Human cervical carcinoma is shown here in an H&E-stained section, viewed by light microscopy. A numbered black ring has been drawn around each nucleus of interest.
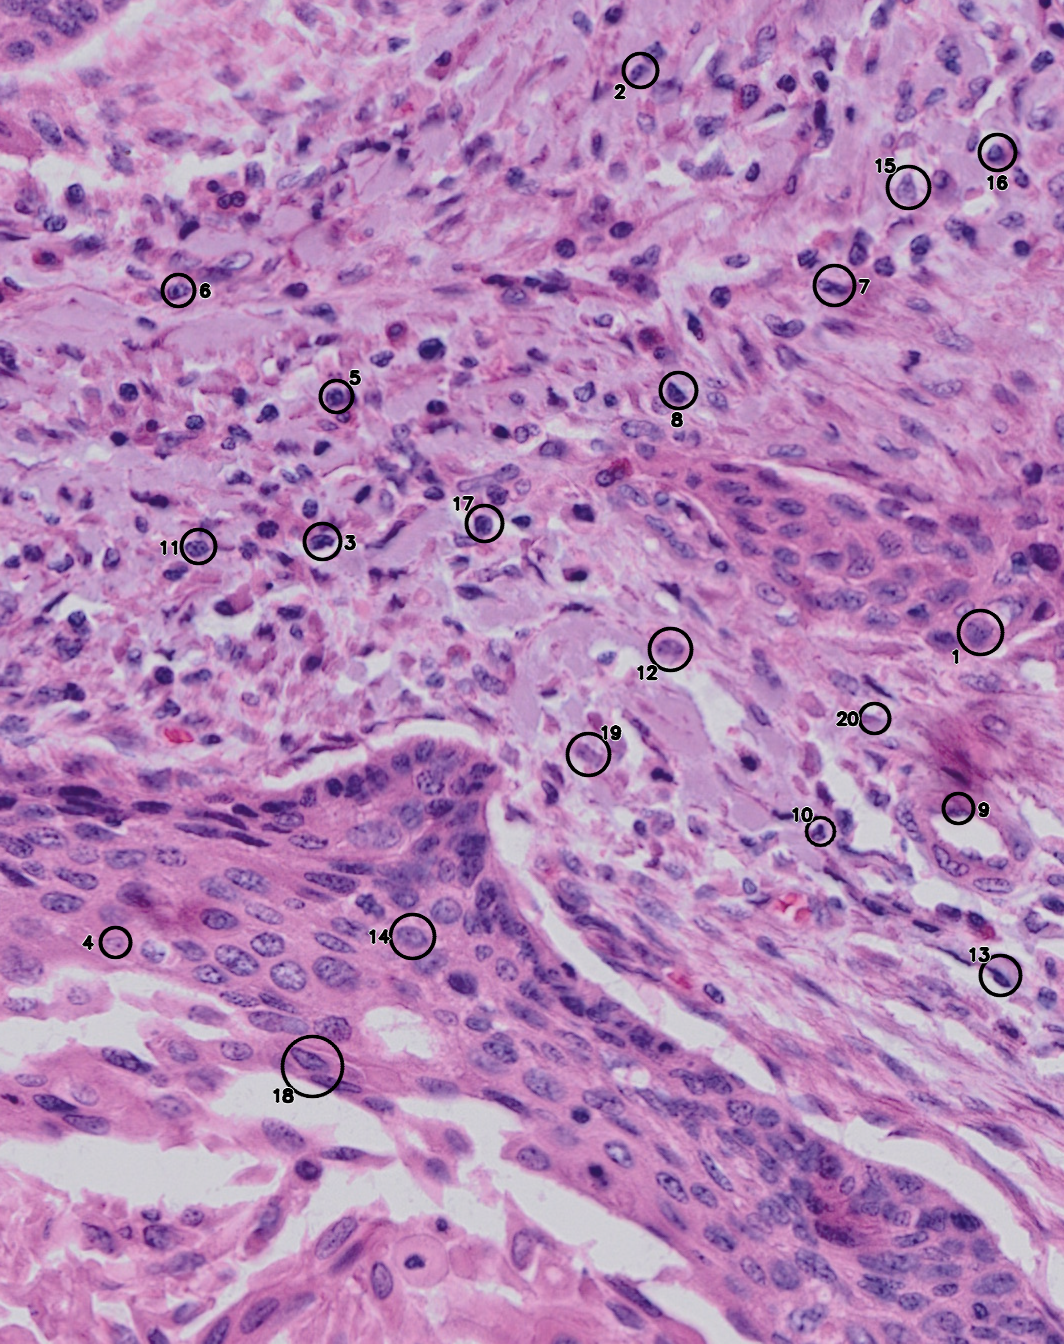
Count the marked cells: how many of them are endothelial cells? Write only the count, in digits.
1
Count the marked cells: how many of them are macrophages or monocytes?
2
